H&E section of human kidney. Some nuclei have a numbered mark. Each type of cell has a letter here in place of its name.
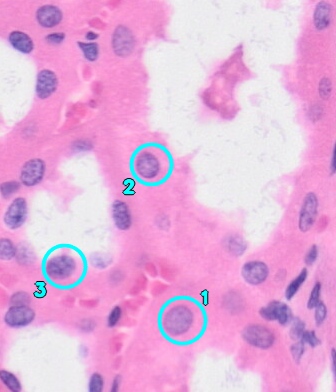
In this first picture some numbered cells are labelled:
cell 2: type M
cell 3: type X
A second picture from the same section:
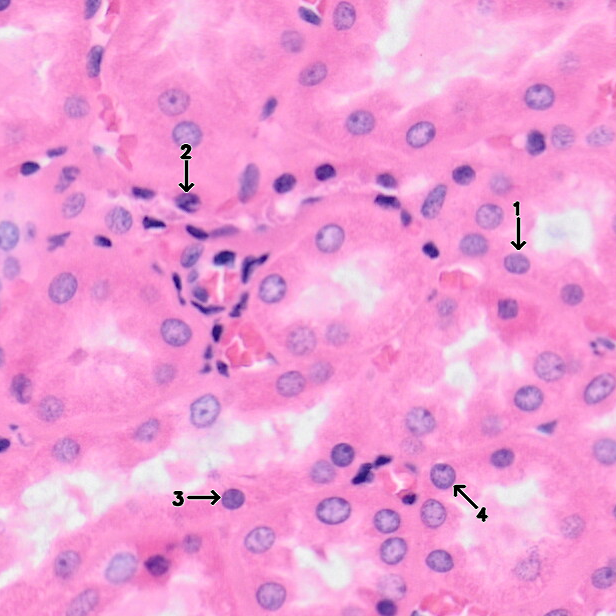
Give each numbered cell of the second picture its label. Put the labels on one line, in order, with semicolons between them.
type M; type X; type M; type M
